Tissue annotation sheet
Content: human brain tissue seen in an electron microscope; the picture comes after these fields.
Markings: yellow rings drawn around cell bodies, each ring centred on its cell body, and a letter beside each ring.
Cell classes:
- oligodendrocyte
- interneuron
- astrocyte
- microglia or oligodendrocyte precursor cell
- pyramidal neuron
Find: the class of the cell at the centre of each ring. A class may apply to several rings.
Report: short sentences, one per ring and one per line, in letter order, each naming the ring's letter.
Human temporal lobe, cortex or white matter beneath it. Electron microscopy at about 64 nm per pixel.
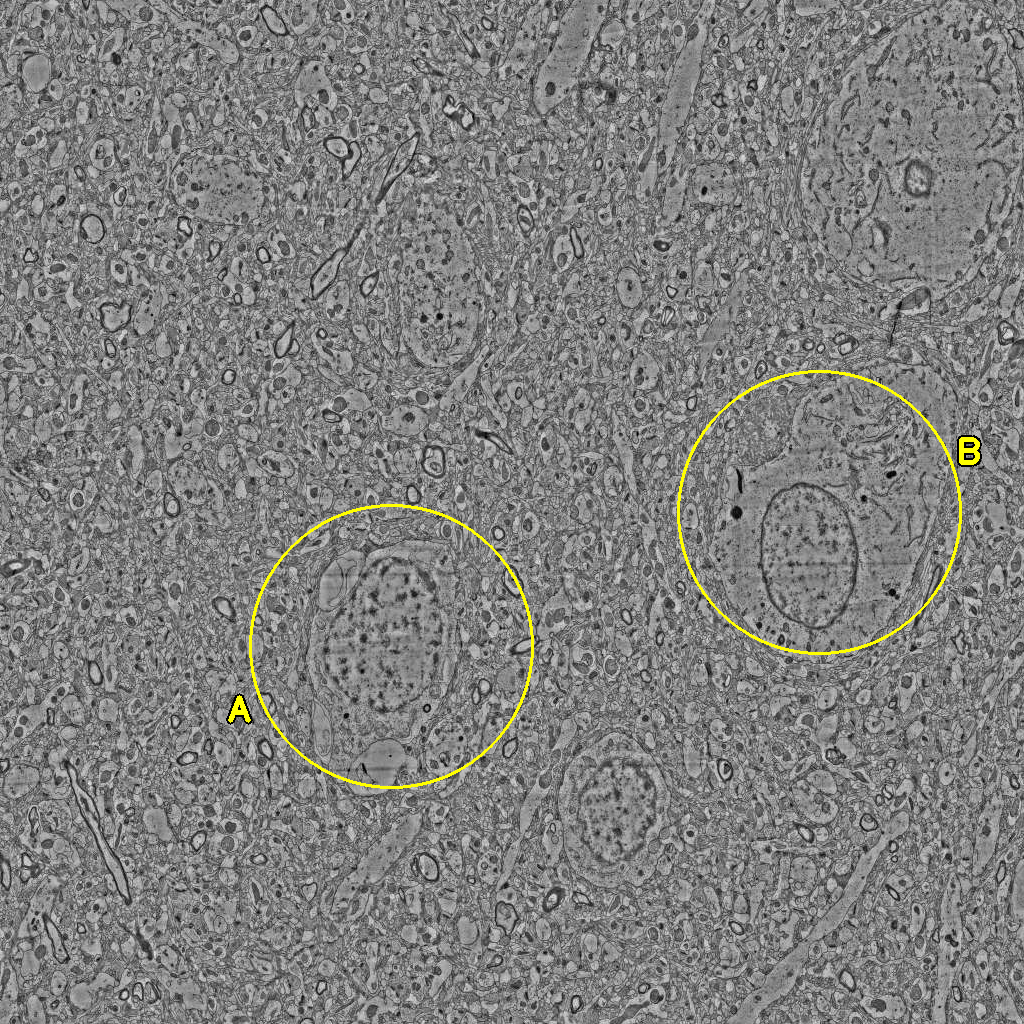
Ring A holds an interneuron at its centre.
Ring B holds a pyramidal neuron at its centre.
